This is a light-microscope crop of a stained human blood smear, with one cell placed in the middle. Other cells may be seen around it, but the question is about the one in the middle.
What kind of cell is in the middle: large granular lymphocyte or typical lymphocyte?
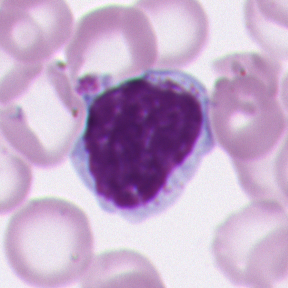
typical lymphocyte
